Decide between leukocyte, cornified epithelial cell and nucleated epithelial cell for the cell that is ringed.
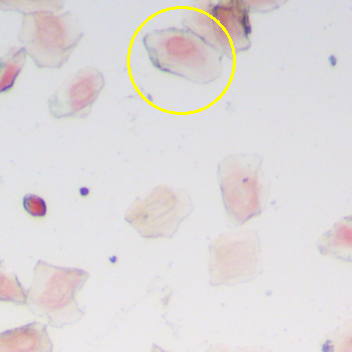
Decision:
I take the ringed cell for a nucleated epithelial cell.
